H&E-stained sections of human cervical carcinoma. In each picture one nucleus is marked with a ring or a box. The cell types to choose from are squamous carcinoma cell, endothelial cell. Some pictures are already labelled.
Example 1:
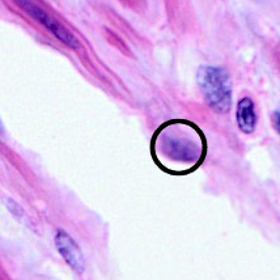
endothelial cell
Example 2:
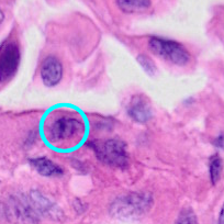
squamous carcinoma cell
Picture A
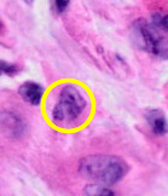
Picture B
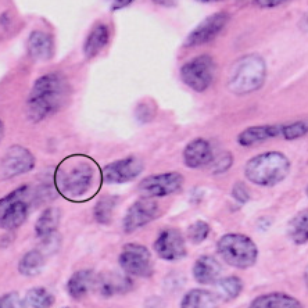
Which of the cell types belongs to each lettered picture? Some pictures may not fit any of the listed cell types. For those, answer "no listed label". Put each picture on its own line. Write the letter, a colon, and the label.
A: no listed label
B: squamous carcinoma cell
